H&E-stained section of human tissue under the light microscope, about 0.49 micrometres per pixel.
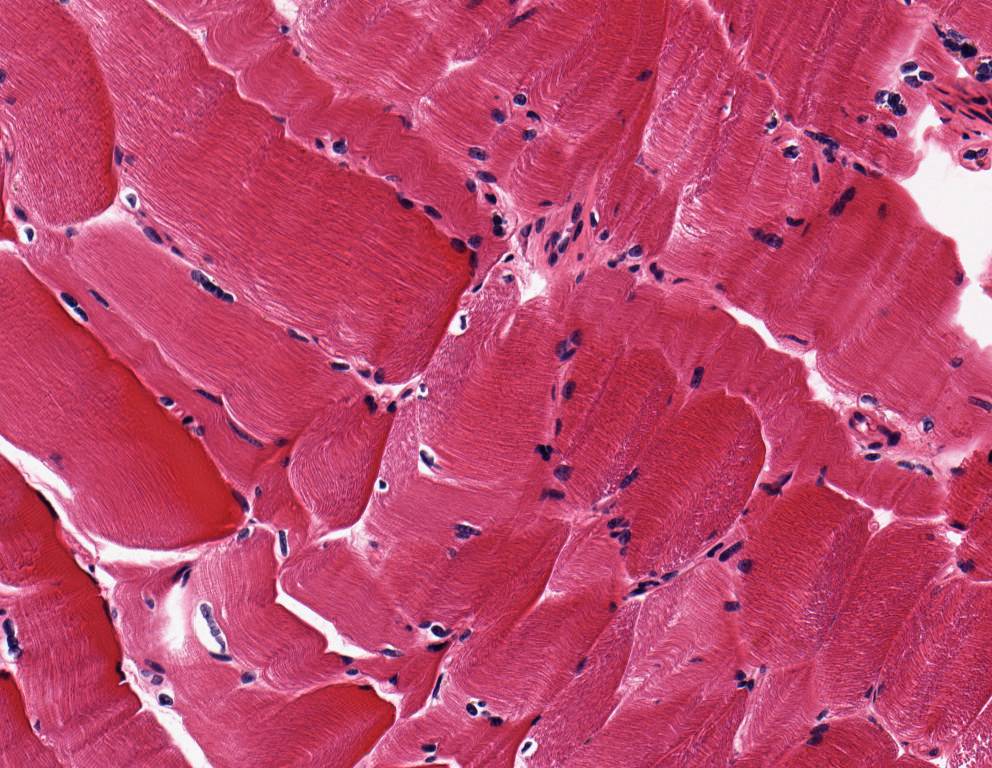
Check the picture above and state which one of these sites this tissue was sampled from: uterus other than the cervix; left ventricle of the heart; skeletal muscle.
skeletal muscle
